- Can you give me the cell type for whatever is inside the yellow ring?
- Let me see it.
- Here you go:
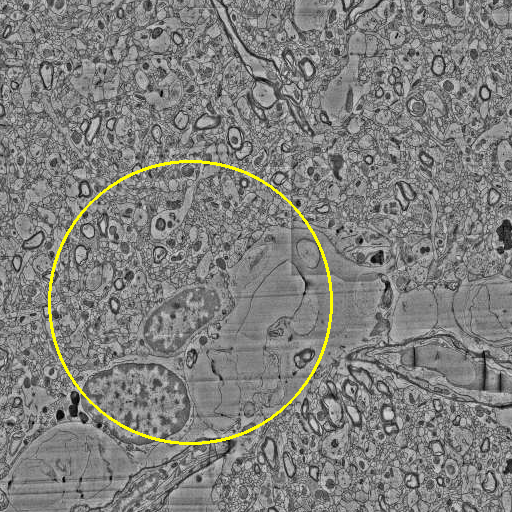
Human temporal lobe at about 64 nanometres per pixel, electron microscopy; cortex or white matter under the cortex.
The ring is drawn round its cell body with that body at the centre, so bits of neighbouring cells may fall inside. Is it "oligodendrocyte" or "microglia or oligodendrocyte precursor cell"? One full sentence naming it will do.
The cell body in the middle of the ring in this picture belongs to an oligodendrocyte.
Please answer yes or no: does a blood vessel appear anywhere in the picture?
Yes, a blood vessel is present in this picture.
